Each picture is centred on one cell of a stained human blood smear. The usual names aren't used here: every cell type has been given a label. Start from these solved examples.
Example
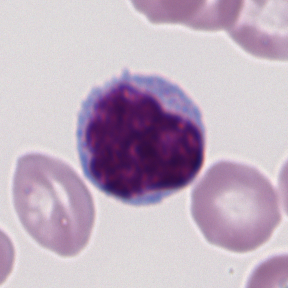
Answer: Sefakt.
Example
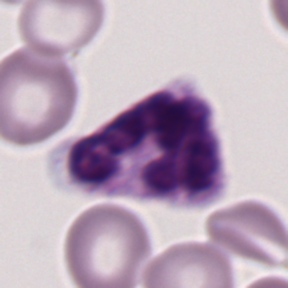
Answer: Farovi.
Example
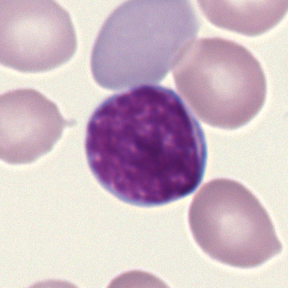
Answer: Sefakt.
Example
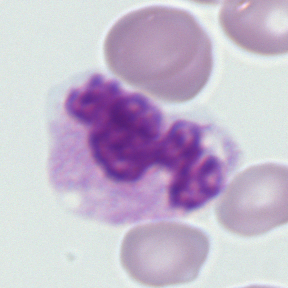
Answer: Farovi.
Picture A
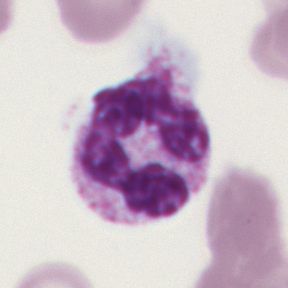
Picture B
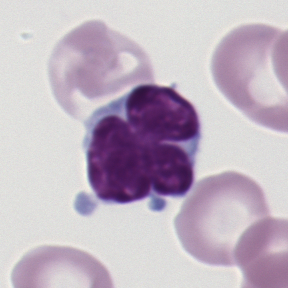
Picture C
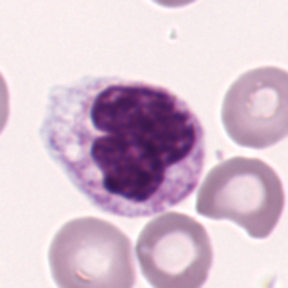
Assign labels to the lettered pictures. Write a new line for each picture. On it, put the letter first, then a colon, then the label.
A: Farovi.
B: Sefakt.
C: Farovi.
